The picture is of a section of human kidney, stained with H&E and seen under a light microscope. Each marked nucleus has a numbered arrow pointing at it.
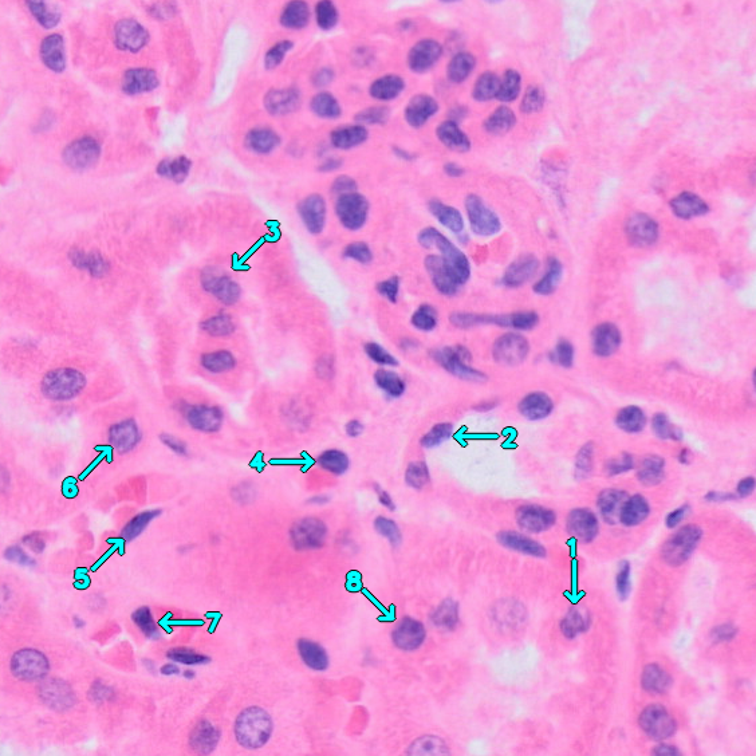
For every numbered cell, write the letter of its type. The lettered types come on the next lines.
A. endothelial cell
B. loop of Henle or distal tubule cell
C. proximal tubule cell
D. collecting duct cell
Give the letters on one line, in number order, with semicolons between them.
C; B; C; A; A; C; A; C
